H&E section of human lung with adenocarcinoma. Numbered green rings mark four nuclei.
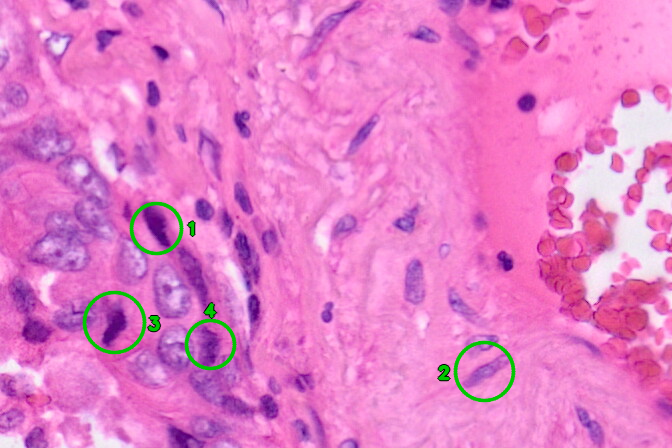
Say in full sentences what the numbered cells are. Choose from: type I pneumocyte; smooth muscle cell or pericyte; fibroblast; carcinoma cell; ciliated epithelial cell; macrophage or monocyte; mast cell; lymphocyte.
Cells 1, 3 and 4 are carcinoma cells. Cell 2 is a smooth muscle cell or pericyte.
